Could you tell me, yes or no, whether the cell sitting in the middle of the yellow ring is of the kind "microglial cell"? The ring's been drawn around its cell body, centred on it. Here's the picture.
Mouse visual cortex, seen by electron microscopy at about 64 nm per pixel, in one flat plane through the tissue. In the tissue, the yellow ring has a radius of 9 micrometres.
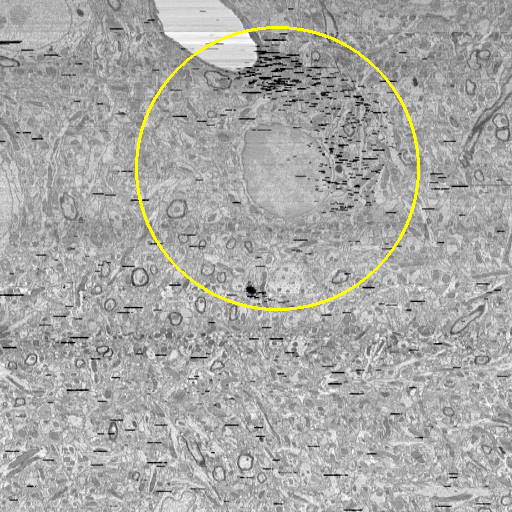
Yes, it is.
